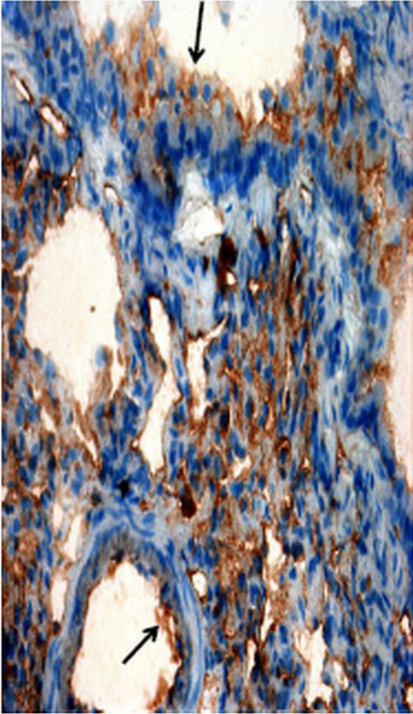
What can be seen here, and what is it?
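Lung tissue with alveolar air spaces separated by cellular septa, and a small arteriole in the lower part. The air spaces appear as empty white areas of varied size, bordered by septa crowded with oval, blue-stained nuclei. Brown staining is widespread in the septa, lying in the cytoplasm around the nuclei and along the surfaces that face the air spaces. The arteriole has a round lumen ringed by a pale-blue, layered wall, and its thin inner lining carries brown stain. Small capillary-like spaces within the septa are also outlined in brown.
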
